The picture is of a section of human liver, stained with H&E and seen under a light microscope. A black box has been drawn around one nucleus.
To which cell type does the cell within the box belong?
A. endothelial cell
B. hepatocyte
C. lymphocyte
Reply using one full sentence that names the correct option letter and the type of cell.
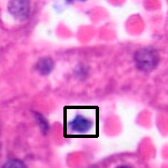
It is option C that correctly calls the cell within the box a lymphocyte.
